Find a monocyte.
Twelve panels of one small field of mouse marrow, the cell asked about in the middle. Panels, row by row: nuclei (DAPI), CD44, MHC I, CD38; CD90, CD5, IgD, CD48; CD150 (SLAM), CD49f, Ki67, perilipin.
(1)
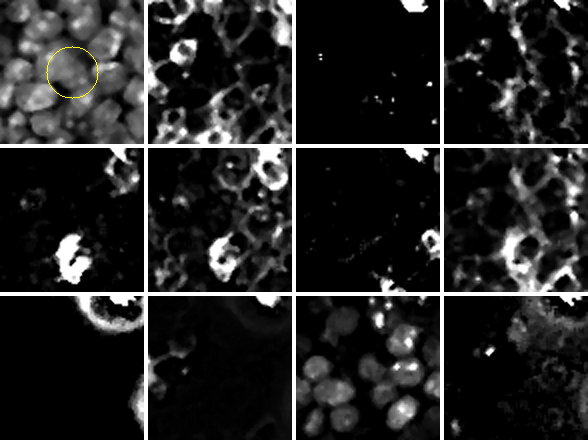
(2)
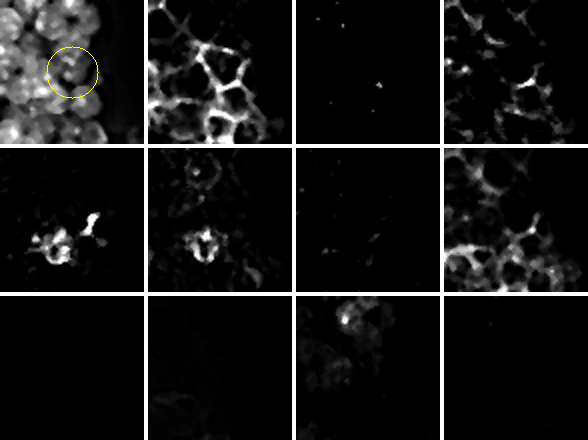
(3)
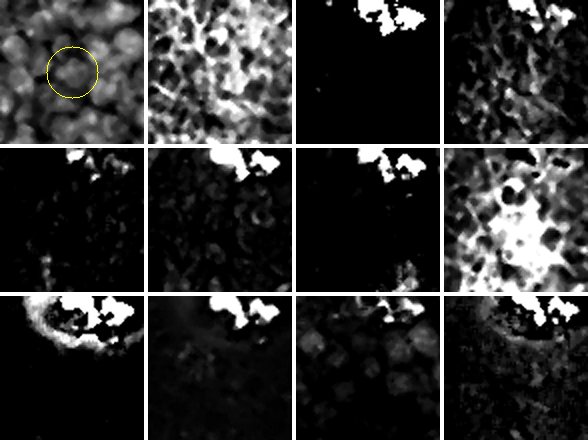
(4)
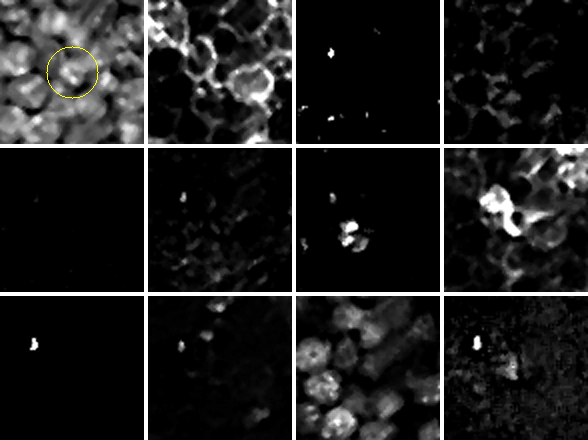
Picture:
4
